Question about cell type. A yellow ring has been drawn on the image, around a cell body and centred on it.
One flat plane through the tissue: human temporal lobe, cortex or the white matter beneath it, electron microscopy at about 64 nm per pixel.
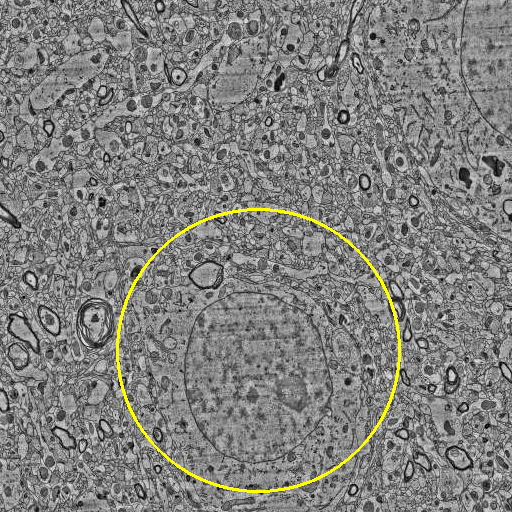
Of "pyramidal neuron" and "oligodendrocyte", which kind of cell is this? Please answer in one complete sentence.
At the centre of the ring lies a pyramidal neuron.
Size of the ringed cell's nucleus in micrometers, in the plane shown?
In this plane, the nucleus of the cell at the centre of the ring measures about 11 by 9 micrometres.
